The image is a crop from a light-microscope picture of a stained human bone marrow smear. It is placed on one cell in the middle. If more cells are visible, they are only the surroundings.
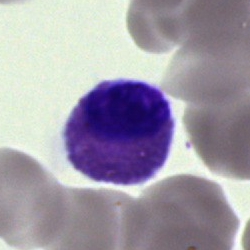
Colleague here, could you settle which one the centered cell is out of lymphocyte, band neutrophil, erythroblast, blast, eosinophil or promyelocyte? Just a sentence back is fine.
The identification for the central cell is an eosinophil.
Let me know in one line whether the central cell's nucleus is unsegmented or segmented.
The nucleus is one compact mass, round, oval or kidney-shaped in outline.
